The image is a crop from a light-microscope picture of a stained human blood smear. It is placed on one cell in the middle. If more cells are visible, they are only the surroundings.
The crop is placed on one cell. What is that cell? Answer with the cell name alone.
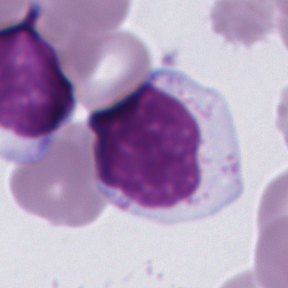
large granular lymphocyte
